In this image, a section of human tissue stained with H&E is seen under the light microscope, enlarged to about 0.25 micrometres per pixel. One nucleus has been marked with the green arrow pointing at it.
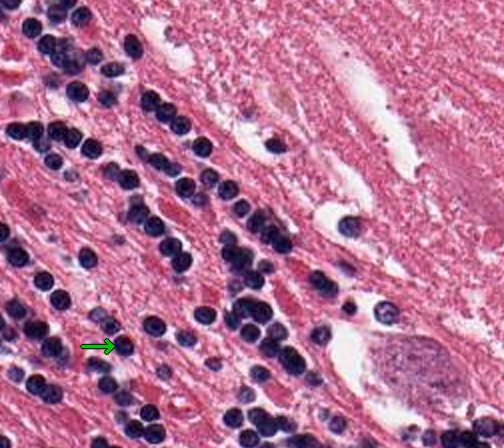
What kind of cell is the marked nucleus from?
cerebellar granule cell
